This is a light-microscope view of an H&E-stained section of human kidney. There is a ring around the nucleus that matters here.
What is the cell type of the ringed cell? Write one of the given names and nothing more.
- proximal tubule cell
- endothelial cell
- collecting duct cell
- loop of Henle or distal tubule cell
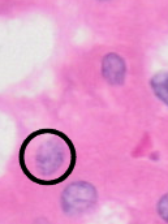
proximal tubule cell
